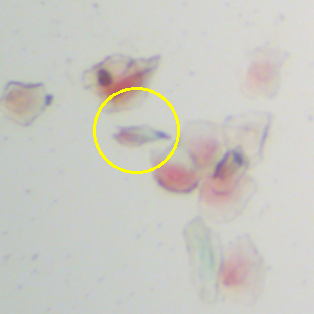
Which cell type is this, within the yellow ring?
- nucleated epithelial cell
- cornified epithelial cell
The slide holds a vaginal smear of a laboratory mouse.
Within the ring is a cornified epithelial cell.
